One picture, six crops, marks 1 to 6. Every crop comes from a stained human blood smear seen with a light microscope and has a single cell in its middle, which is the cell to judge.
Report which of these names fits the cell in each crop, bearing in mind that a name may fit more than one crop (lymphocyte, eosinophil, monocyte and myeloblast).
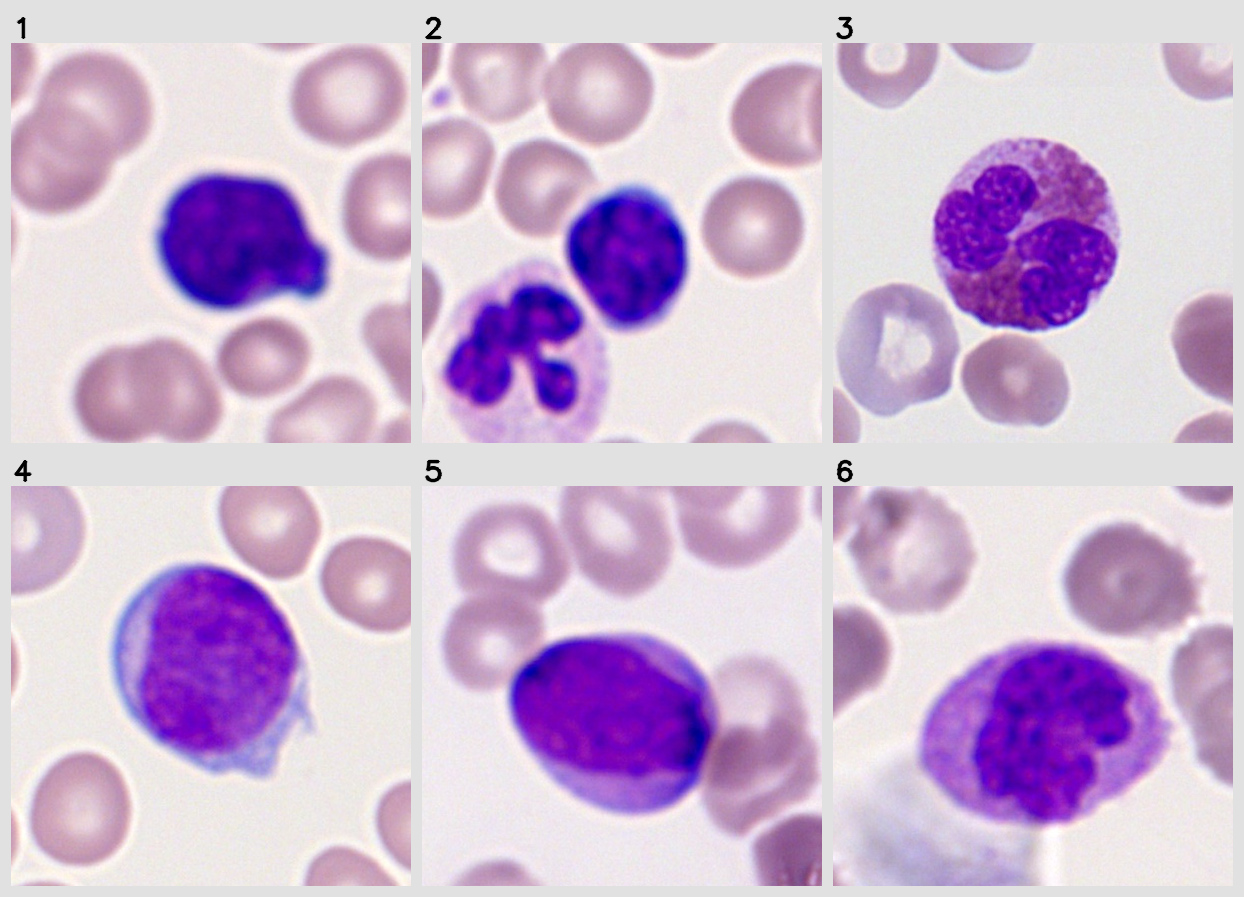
1: myeloblast
2: lymphocyte
3: eosinophil
4: myeloblast
5: myeloblast
6: monocyte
